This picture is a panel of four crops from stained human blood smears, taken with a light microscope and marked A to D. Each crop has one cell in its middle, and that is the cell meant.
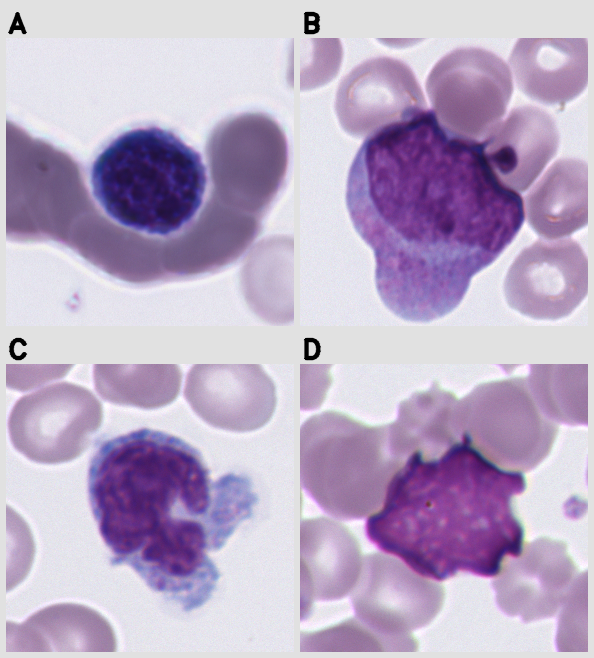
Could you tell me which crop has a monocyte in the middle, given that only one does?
C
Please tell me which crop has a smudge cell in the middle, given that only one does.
D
